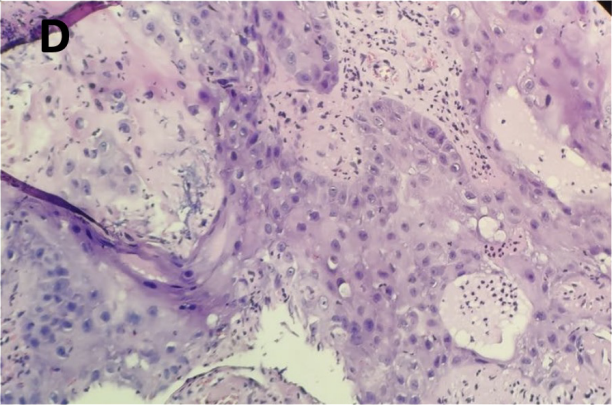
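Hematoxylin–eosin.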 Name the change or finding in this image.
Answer: Cellular and nuclear heterogeneity and atypia.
